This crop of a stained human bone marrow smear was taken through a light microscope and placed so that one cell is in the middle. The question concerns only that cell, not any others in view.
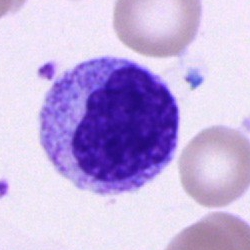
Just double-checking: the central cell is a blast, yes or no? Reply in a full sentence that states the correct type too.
No, the central cell does not count as a blast; it is a myelocyte.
